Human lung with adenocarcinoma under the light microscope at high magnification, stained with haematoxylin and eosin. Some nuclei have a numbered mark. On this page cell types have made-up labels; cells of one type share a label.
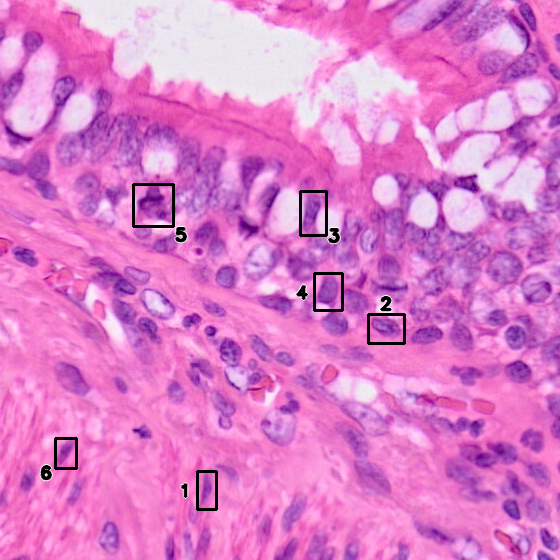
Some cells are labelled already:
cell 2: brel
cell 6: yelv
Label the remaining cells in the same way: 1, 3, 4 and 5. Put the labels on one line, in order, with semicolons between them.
yelv; brel; brel; brel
